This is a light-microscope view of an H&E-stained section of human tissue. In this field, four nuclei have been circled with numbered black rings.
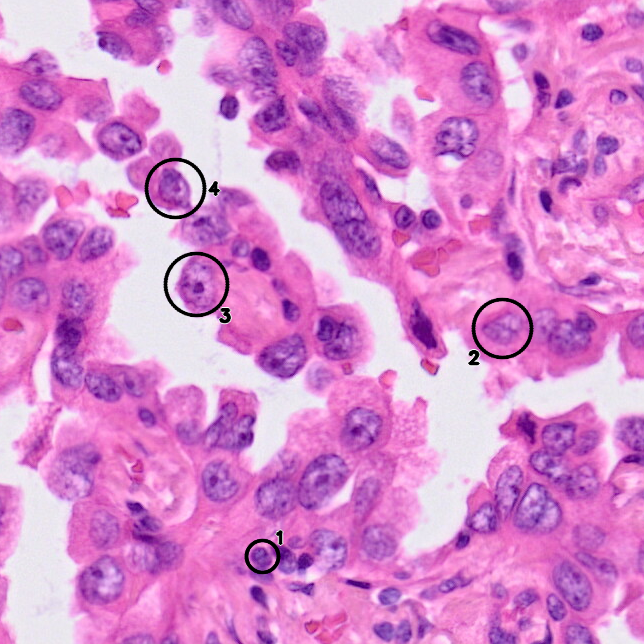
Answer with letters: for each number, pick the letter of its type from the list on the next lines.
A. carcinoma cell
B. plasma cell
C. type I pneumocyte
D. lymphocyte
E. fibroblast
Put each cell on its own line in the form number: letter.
1: D
2: A
3: A
4: A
